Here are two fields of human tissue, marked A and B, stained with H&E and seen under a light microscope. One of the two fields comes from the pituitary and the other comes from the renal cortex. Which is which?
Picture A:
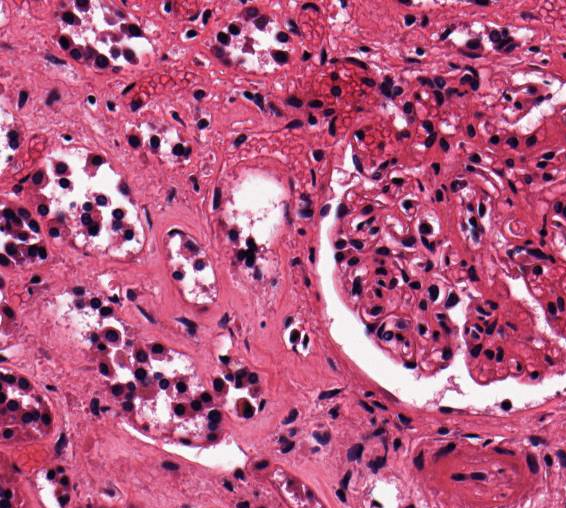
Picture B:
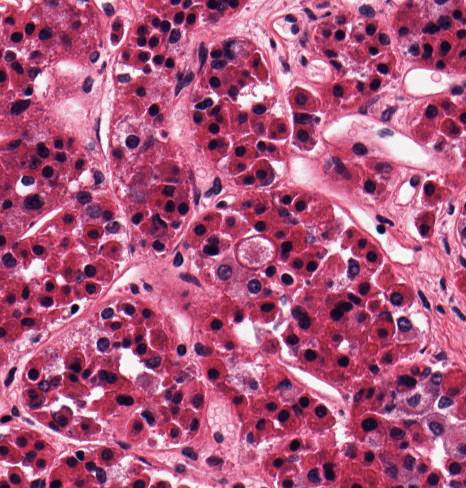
A: renal cortex
B: pituitary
